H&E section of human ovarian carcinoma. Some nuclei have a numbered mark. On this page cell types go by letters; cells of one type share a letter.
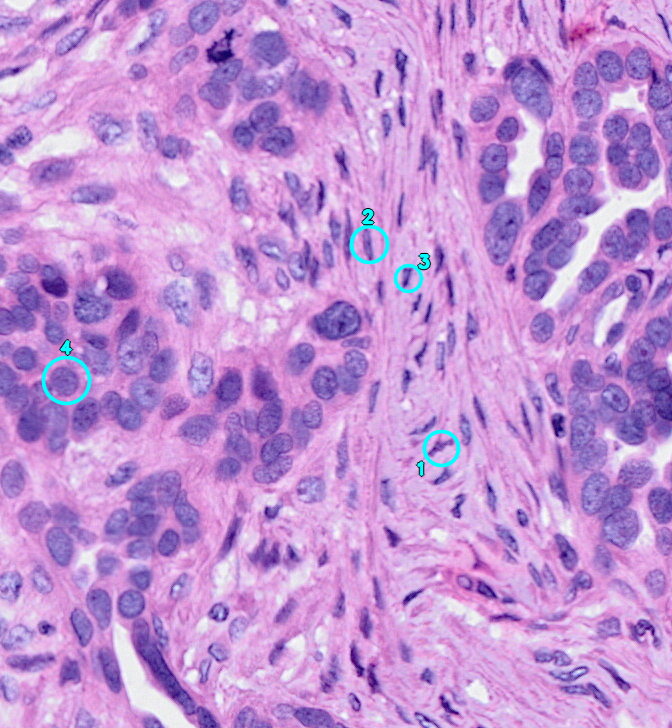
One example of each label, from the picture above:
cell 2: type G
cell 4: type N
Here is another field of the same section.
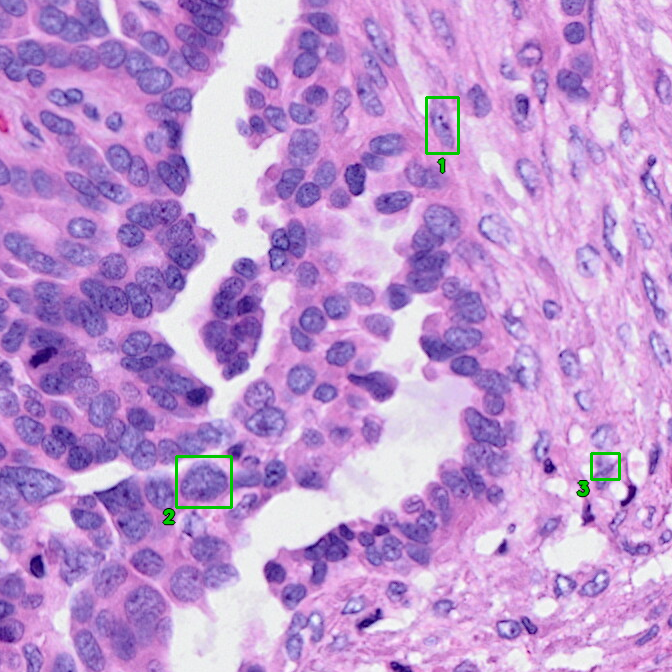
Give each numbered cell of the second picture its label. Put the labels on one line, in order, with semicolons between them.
type G; type N; type G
